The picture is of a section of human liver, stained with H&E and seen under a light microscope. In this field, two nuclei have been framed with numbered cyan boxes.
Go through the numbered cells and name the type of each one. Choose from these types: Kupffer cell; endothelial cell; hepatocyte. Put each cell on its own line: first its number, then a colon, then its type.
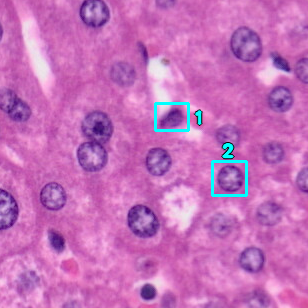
1: Kupffer cell
2: hepatocyte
